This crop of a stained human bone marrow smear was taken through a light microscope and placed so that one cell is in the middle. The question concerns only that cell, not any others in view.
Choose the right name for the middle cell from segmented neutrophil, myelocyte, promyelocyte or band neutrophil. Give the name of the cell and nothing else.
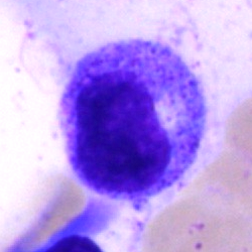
promyelocyte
